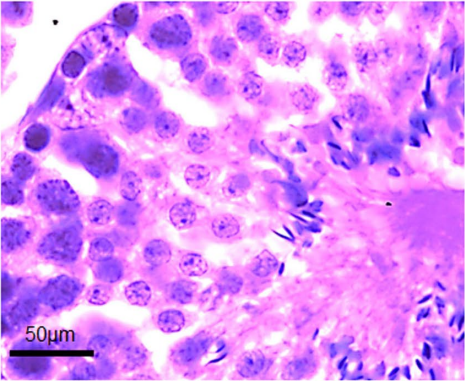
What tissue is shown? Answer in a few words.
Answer: Seminiferous tubules.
